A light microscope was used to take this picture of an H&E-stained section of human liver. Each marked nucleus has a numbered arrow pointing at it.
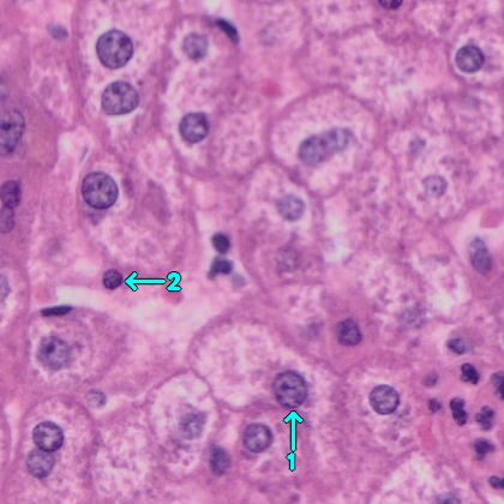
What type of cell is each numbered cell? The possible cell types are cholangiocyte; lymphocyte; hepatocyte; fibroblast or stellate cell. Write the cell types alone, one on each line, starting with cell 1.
hepatocyte
lymphocyte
